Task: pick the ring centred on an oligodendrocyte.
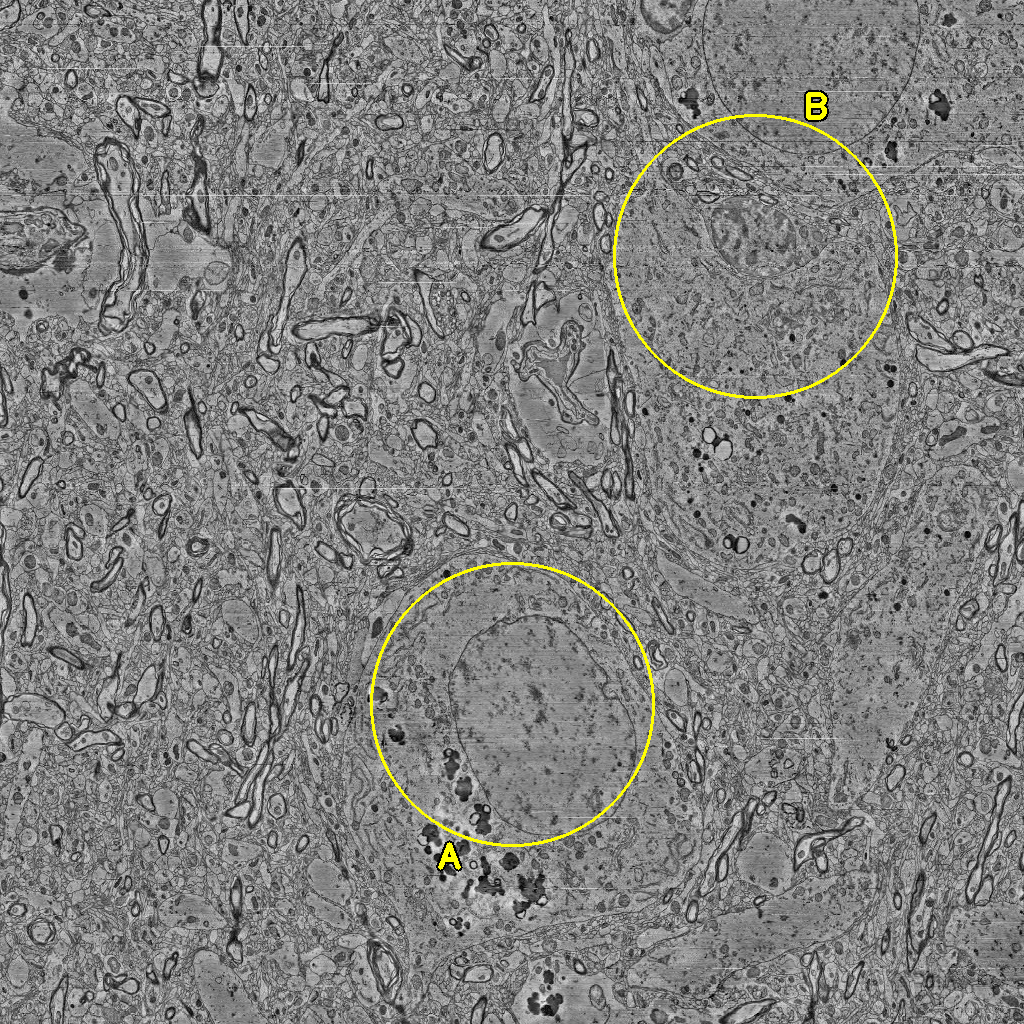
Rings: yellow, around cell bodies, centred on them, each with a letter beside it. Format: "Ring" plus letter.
Ring B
